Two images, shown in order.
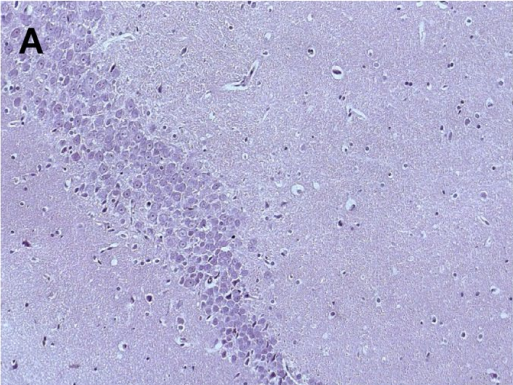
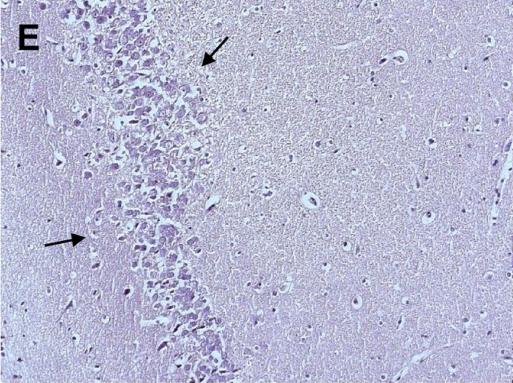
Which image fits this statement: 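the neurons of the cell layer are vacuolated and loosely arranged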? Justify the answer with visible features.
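The second image. Second image: the neuron band is loose, with many clear spaces around the cells. First image: the neuron band is compact, with closely packed cell bodies and few clear spaces.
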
